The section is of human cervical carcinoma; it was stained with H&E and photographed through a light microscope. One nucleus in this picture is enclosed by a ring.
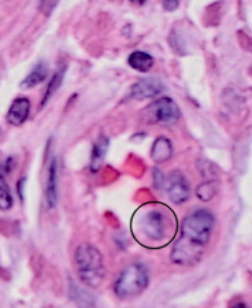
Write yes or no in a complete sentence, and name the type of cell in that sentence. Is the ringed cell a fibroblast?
No, mate, the ringed cell is an endothelial cell rather than a fibroblast.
